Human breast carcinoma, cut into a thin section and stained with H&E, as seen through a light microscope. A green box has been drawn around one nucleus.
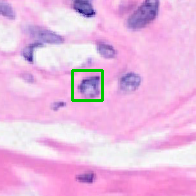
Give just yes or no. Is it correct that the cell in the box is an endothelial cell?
yes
